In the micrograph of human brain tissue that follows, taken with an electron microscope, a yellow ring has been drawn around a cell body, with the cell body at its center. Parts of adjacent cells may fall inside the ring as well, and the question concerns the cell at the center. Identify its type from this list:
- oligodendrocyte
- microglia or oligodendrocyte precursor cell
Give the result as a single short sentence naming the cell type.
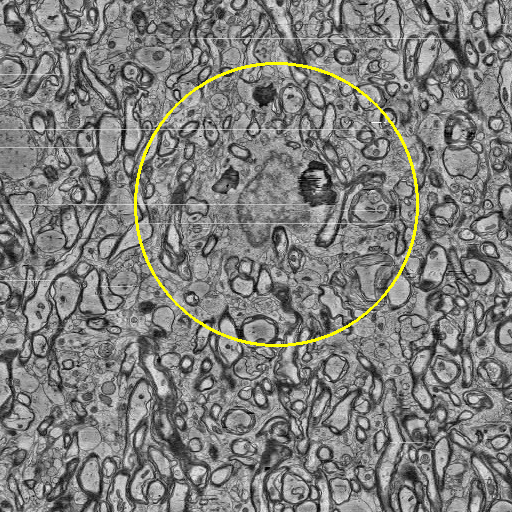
The ring is centered on an oligodendrocyte.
